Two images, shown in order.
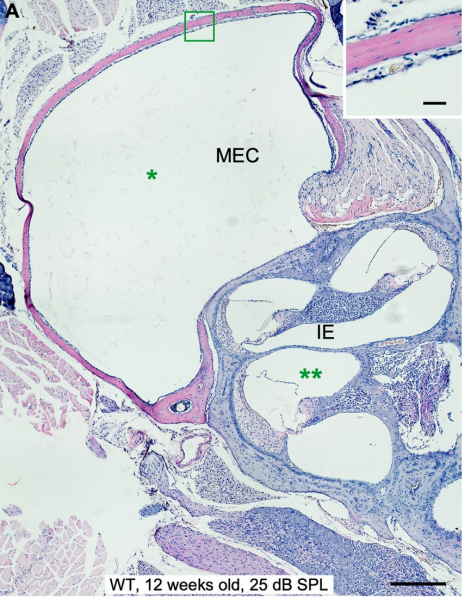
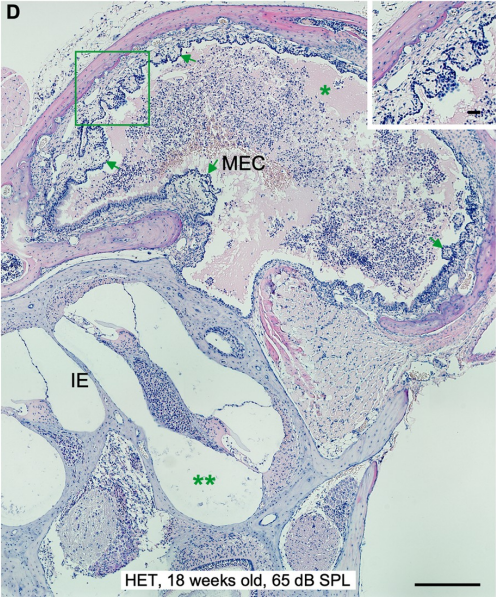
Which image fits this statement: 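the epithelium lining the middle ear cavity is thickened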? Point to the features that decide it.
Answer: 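Second image: the inset shows a thick, folded cellular lining beneath the bone. First image: the inset shows a thin flat lining with few nuclei along the bone. So: the second image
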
